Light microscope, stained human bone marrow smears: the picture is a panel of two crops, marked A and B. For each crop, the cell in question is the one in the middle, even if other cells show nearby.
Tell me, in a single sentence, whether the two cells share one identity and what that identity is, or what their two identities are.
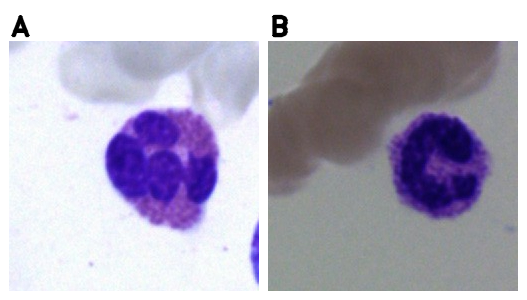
No, as for crop A, it shows an eosinophil, and crop B shows a neutrophil.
